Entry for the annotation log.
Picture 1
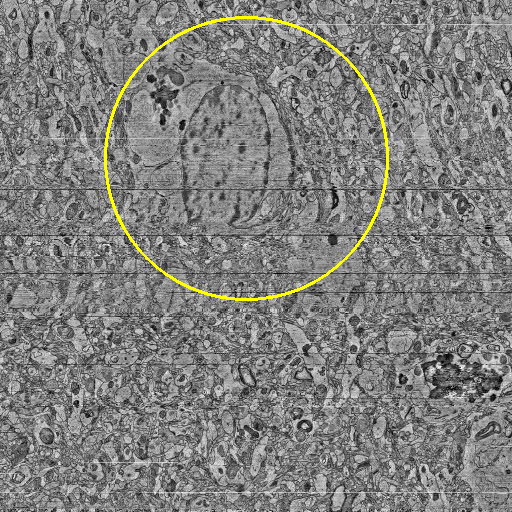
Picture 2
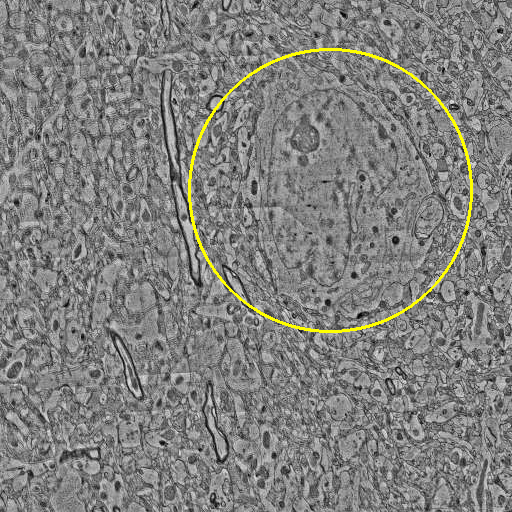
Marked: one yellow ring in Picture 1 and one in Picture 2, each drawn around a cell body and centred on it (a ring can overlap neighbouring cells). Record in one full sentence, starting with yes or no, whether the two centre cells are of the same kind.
No, the two cells are of two kinds.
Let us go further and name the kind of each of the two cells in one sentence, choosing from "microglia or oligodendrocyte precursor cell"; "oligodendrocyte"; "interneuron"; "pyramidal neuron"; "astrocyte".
The ring of the first picture is on an astrocyte, the ring of the second on an interneuron.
